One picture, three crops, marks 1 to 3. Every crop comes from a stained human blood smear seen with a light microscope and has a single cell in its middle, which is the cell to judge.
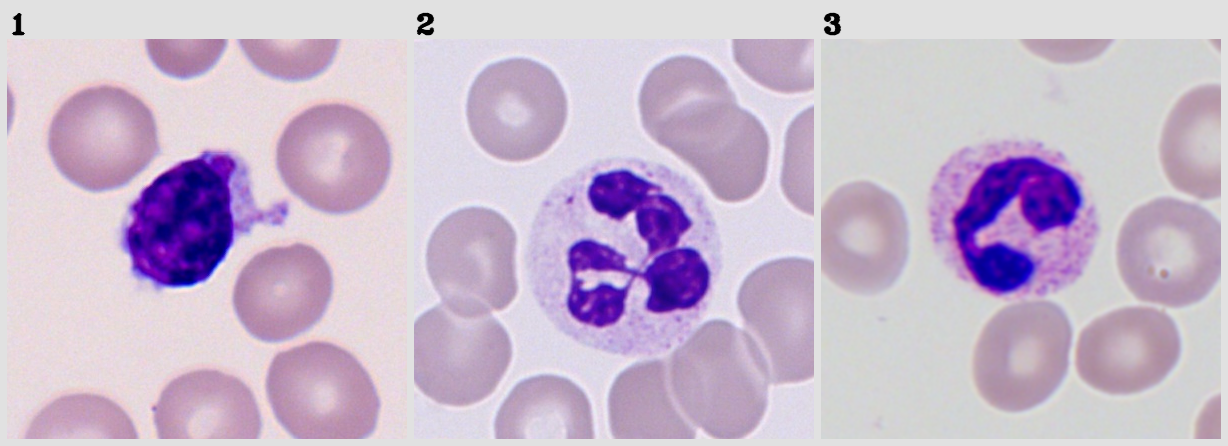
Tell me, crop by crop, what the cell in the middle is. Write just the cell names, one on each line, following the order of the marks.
lymphocyte
neutrophil
neutrophil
